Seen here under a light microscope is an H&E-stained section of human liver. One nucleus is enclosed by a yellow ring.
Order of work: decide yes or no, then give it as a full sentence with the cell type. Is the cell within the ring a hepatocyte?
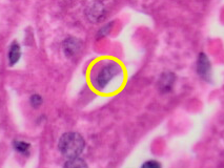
No, the cell within the ring is to be identified as a Kupffer cell, not a hepatocyte.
